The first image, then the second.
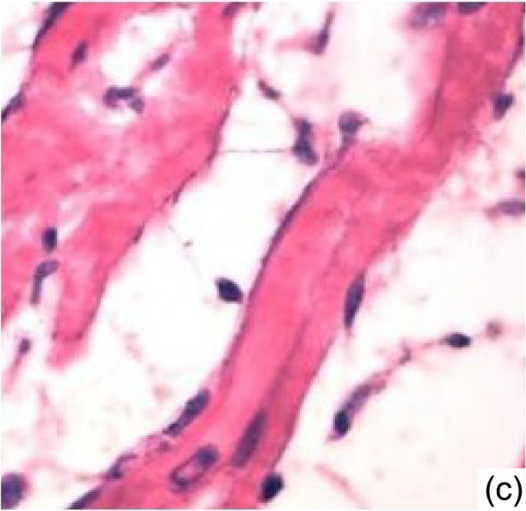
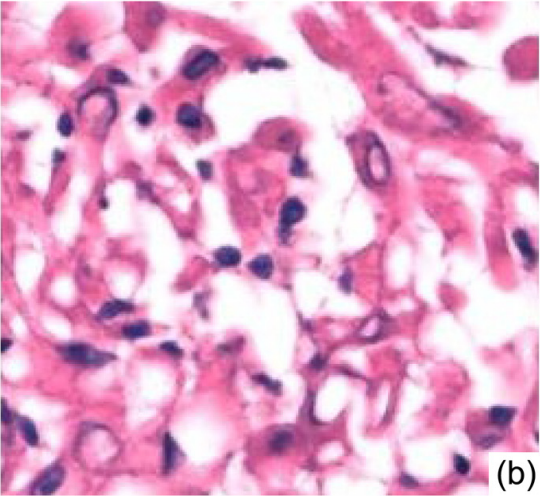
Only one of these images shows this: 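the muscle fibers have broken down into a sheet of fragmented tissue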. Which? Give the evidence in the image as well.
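The second image. First image: long continuous pink muscle fibers remain with pale spaces between them. Second image: no continuous fibers, only fragmented pink material with many pale gaps and scattered dark nuclei.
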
